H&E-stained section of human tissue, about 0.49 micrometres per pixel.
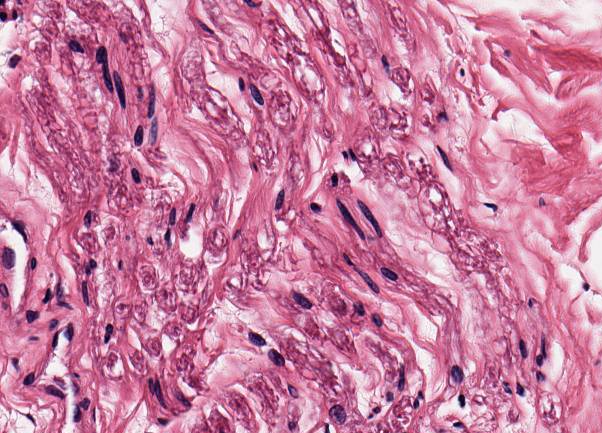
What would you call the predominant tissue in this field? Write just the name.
nerve fascicle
